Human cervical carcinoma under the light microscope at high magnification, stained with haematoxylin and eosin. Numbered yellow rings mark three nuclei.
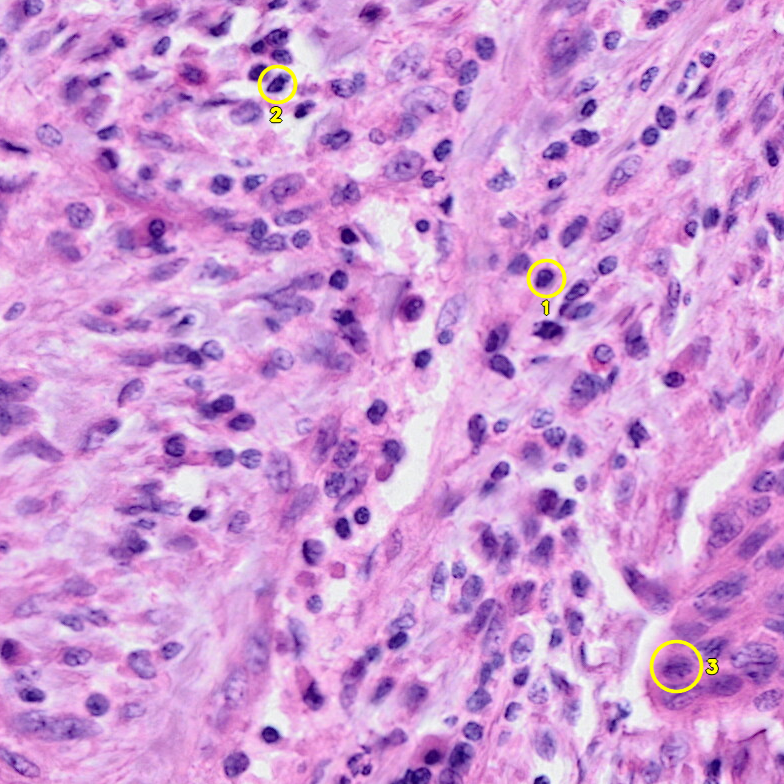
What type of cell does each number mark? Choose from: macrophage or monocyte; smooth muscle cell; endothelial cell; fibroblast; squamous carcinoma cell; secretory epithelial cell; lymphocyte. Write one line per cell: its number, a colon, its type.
1: lymphocyte
2: lymphocyte
3: squamous carcinoma cell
